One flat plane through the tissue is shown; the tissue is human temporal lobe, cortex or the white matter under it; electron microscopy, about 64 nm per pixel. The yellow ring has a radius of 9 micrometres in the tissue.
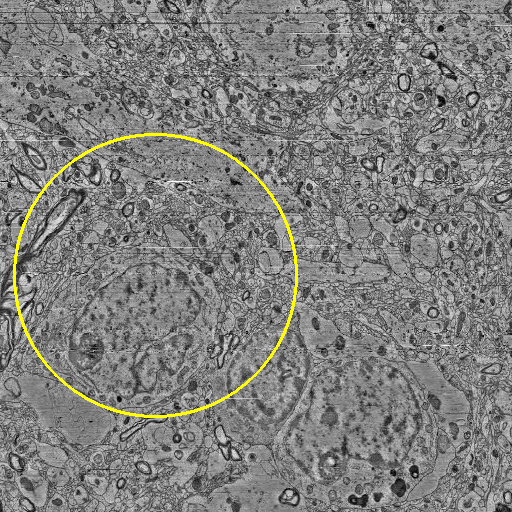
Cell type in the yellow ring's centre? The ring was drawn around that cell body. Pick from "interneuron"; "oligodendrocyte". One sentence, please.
The ringed cell body is that of an interneuron.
